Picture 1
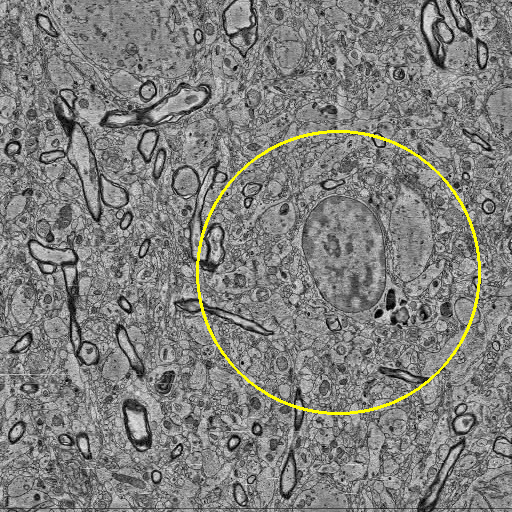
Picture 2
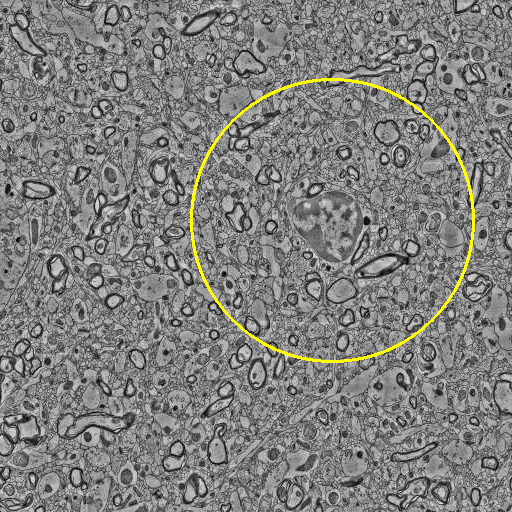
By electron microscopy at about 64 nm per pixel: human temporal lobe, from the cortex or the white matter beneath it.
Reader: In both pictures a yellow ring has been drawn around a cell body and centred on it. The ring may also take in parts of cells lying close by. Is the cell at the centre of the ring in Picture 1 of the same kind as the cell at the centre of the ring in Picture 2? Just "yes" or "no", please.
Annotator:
yes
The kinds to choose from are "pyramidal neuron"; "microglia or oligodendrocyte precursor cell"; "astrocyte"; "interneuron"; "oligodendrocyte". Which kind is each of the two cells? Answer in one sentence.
In each picture the ringed cell is a microglial cell or oligodendrocyte precursor cell.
